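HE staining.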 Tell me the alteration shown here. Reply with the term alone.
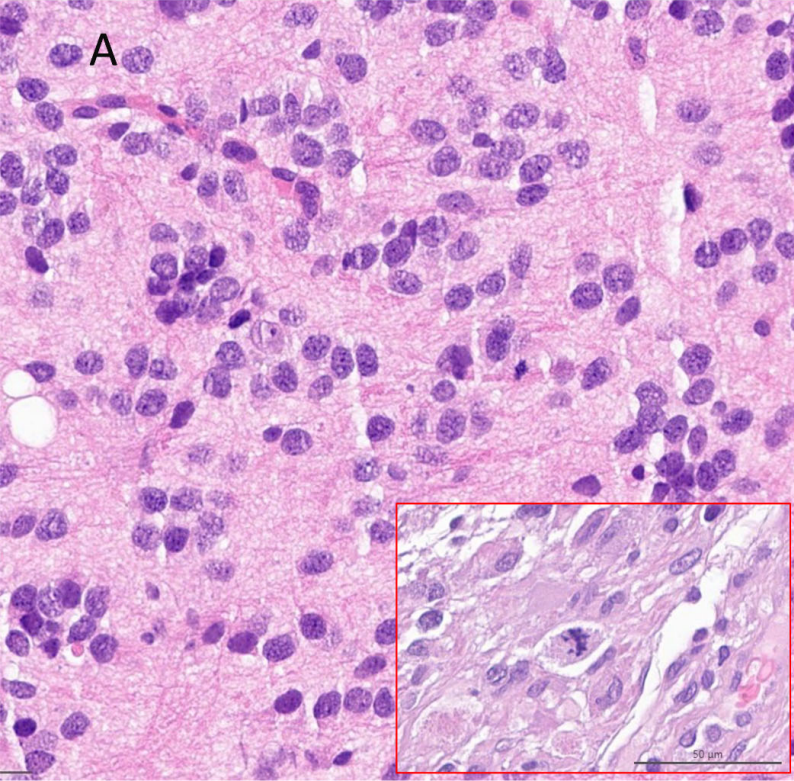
diffuse infiltrating tumor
